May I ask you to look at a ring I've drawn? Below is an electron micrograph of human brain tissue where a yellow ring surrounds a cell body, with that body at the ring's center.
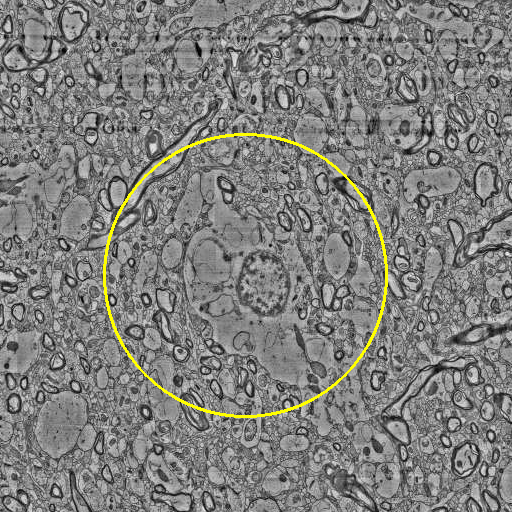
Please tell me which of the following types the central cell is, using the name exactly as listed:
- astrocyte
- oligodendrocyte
astrocyte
